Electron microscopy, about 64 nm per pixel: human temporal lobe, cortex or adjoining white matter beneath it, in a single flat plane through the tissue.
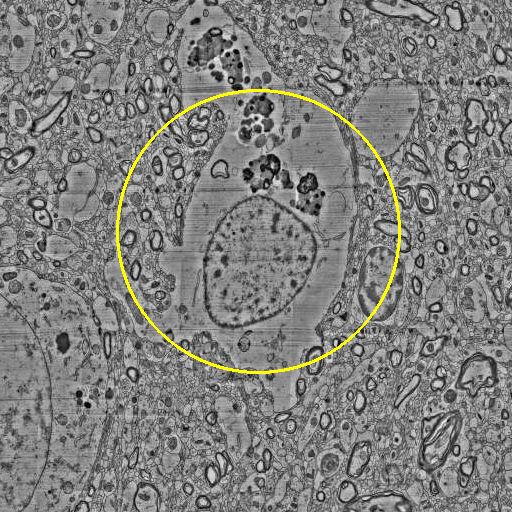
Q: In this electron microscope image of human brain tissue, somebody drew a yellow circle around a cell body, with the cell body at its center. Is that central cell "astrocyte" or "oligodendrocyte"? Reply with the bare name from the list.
astrocyte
